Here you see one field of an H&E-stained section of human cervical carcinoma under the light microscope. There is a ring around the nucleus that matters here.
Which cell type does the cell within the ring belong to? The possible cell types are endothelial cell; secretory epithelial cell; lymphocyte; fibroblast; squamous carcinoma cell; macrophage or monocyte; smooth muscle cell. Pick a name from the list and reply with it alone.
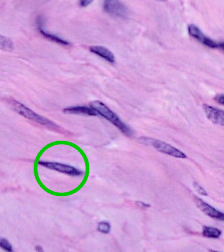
fibroblast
